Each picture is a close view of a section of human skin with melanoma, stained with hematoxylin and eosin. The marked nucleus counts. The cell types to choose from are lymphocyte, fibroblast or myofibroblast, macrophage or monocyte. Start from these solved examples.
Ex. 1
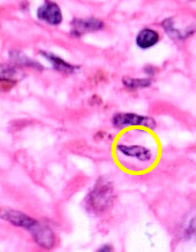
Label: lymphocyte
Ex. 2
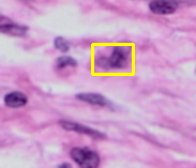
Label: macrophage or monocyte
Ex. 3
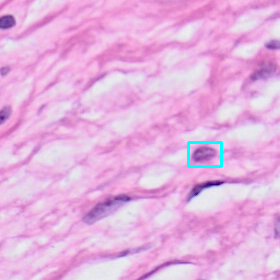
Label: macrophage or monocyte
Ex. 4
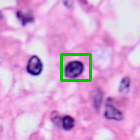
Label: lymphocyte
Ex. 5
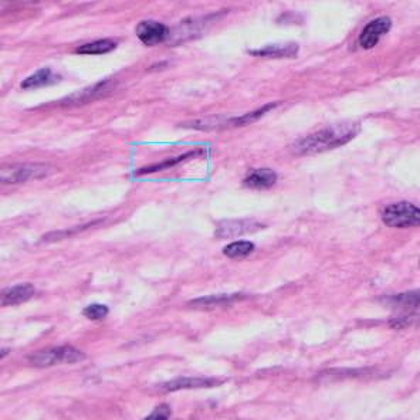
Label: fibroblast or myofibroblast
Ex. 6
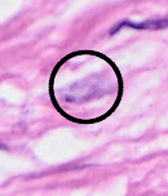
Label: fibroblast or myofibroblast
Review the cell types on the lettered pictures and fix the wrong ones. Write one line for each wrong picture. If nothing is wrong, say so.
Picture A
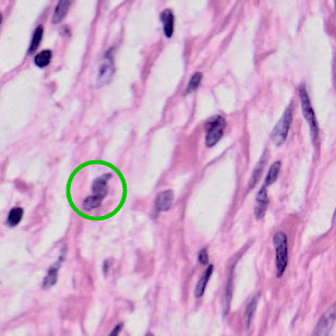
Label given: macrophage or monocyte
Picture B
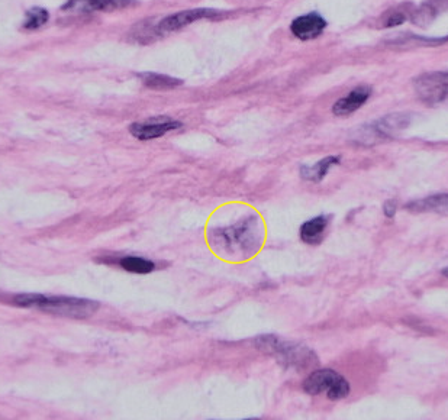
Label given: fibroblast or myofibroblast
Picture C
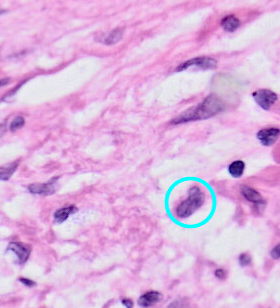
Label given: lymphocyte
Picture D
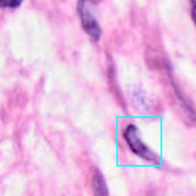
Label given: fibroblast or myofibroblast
C: not lymphocyte but macrophage or monocyte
